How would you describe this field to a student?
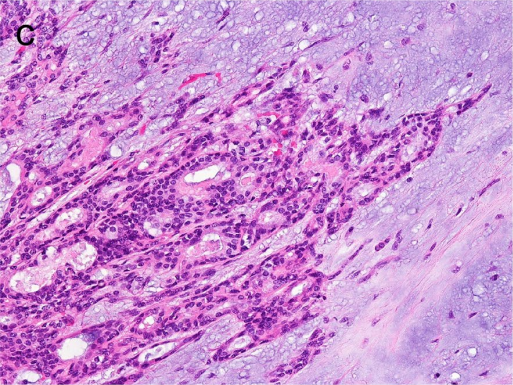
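This is pleomorphic adenoma, with cords and small ducts of epithelial cells that have dark oval nuclei and pink cytoplasm. Many small lumens are open within the cellular band running across the lower left. Above and to the right, the cells spread out, singly and in strands, into pale bluish-purple myxoid stroma. The epithelial, duct-forming part and the loose mesenchymal part blend into each other without a sharp border, typical of this mixed tumor.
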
